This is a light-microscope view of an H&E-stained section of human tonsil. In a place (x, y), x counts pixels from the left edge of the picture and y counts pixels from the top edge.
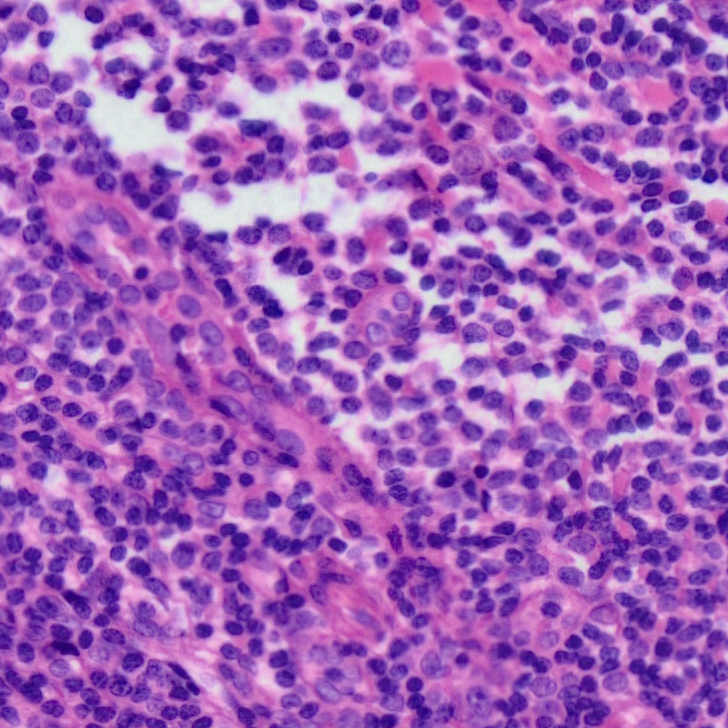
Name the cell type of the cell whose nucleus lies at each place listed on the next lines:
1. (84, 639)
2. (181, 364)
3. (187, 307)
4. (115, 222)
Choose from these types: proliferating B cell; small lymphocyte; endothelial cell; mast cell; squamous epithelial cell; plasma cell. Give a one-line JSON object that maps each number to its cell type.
{"1": "small lymphocyte", "2": "endothelial cell", "3": "endothelial cell", "4": "endothelial cell"}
